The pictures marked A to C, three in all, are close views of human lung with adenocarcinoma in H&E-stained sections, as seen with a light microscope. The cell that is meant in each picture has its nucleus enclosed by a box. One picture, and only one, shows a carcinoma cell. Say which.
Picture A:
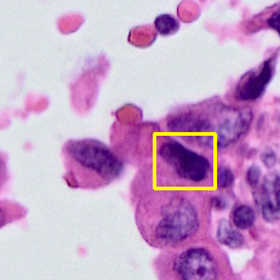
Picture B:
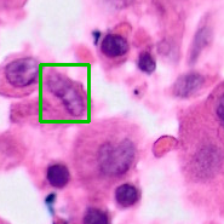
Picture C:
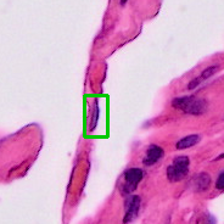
A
